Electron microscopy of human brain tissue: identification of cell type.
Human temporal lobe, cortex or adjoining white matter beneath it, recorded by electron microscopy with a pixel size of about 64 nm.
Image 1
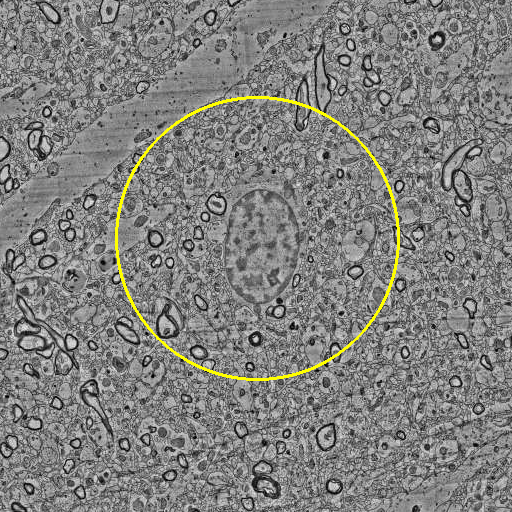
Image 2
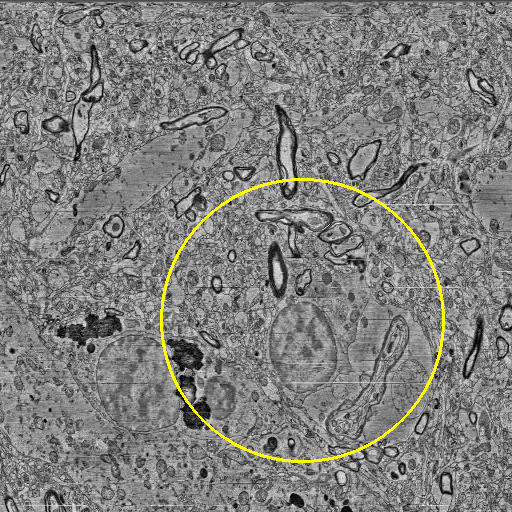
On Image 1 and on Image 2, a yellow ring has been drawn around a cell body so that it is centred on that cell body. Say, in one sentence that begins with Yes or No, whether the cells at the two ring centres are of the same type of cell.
Yes, both cells are the same type of cell.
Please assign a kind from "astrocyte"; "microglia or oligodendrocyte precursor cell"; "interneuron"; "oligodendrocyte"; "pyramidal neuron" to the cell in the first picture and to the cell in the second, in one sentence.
Both the first and the second picture show an oligodendrocyte in the ring.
